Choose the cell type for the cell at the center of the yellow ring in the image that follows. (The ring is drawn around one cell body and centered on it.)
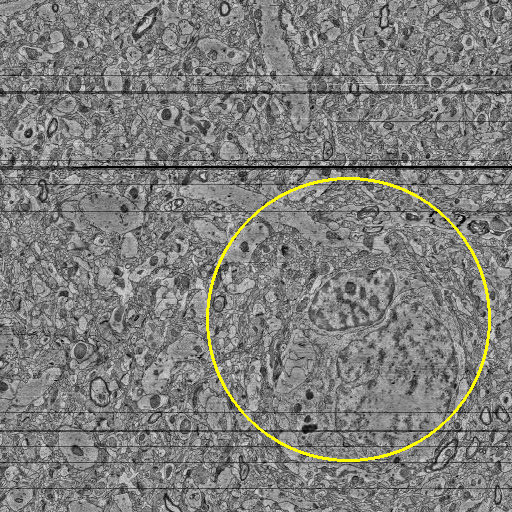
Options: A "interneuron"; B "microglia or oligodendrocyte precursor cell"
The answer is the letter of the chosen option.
B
